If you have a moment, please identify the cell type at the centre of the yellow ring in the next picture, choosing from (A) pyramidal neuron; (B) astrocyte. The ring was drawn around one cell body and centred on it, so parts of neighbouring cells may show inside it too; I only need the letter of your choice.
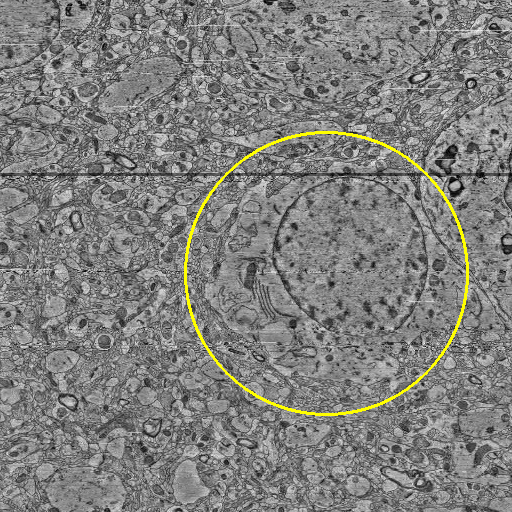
B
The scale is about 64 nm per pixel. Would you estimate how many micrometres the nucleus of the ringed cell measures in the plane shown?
Approximately 10 micrometres across in this plane.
